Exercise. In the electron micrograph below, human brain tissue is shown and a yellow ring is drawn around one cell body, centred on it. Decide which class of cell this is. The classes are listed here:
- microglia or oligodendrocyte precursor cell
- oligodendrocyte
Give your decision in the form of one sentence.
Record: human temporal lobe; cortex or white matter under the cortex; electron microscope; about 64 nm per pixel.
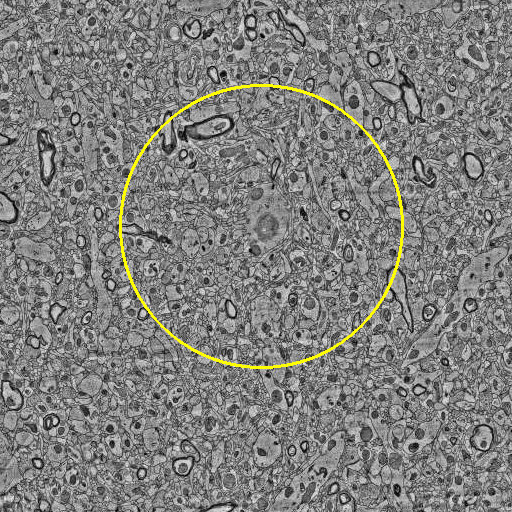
The cell body marked by the ring belongs to an oligodendrocyte.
